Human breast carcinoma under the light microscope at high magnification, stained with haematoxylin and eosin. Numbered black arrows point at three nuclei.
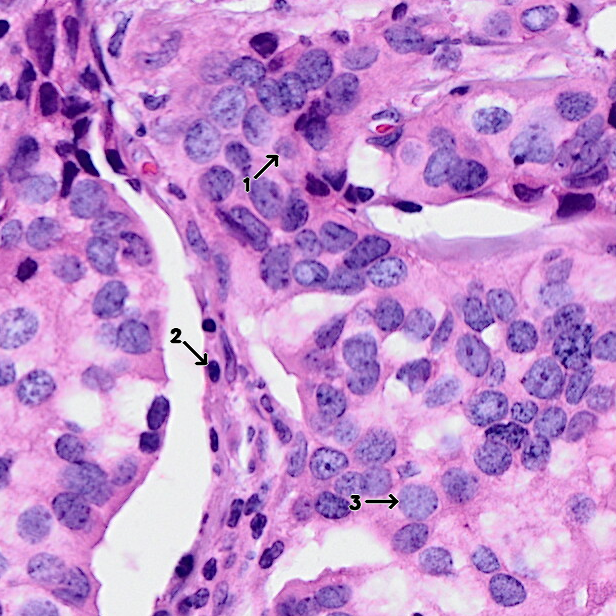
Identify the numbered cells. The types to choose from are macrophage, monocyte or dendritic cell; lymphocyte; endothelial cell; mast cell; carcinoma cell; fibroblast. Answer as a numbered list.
1. carcinoma cell
2. lymphocyte
3. carcinoma cell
